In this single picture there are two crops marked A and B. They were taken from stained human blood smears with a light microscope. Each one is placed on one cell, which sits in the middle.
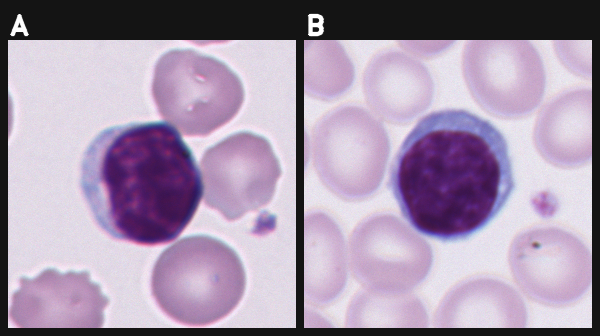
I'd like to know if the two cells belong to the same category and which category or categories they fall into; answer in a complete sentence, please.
Yes, the central cells in both of the crops are lymphocytes.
